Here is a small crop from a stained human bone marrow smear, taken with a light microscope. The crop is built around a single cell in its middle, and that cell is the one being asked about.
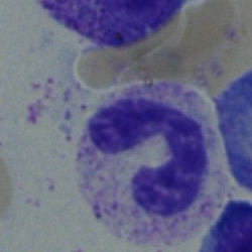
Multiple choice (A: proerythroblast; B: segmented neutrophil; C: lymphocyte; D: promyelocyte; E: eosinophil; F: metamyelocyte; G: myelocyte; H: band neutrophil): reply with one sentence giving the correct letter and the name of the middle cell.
Identified correctly by option H, the cell in the middle is a band neutrophil.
